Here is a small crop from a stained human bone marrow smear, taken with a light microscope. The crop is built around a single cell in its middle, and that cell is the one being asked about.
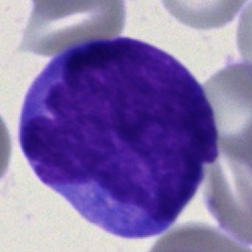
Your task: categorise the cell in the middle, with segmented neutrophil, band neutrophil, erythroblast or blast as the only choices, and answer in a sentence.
The identification for the central cell is a blast.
